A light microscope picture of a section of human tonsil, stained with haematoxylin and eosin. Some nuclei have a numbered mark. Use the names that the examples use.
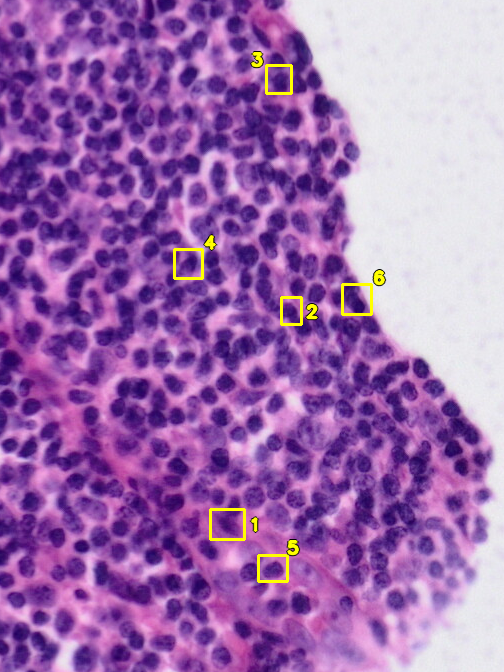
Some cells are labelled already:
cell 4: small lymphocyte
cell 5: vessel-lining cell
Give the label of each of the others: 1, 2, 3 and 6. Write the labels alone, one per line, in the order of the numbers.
vessel-lining cell
small lymphocyte
small lymphocyte
small lymphocyte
